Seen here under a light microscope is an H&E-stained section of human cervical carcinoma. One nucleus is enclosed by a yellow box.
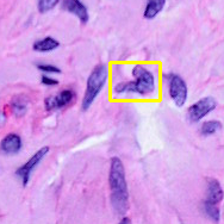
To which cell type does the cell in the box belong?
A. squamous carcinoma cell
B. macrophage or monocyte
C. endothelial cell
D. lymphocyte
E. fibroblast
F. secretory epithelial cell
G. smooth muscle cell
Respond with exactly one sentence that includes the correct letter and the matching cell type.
Option B correctly identifies the cell in the box as a macrophage or monocyte.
